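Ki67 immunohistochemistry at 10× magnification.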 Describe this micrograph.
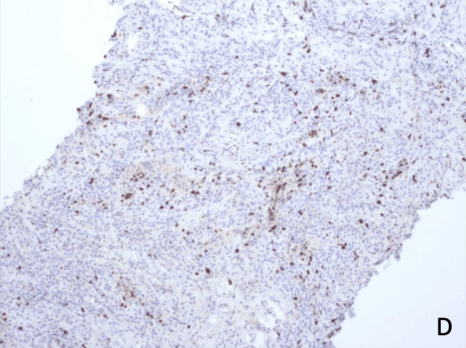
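Scattered among them are many nuclei stained dark brown. These brown nuclei are dispersed singly and in loose groups throughout the fragment rather than confined to one layer. Most nuclei in the fragment remain blue and unstained.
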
